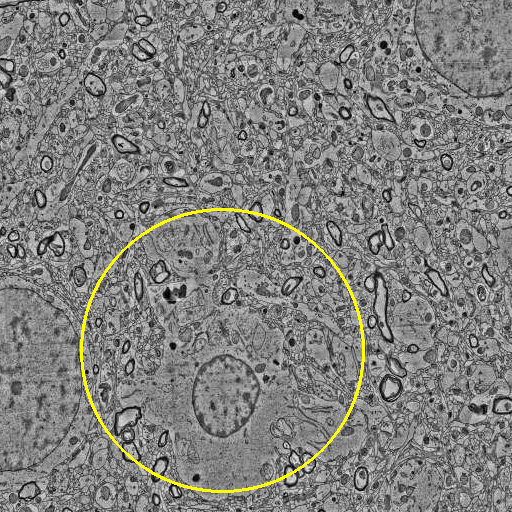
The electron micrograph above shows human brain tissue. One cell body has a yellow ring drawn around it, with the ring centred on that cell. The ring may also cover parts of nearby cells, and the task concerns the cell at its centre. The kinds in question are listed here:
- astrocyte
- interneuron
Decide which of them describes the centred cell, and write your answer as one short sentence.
The centred cell is an astrocyte.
